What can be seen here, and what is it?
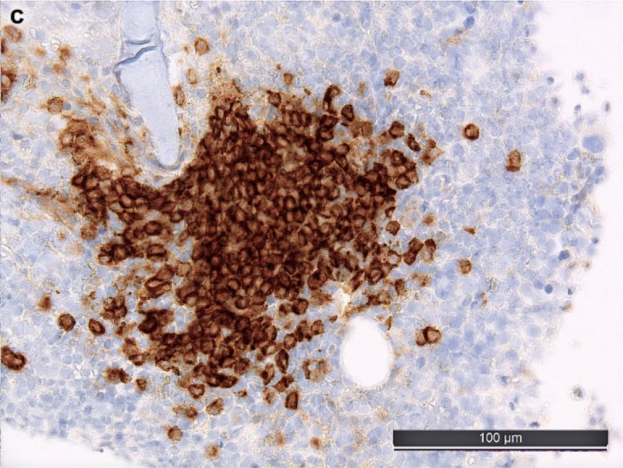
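This is bone marrow in which a compact nodule of closely packed, round, medium-sized cells stands out with strong brown membrane and cytoplasmic staining. Around the nodule lie sheets of unstained marrow cells with blue nuclei, and a few isolated brown cells are scattered at its edge.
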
